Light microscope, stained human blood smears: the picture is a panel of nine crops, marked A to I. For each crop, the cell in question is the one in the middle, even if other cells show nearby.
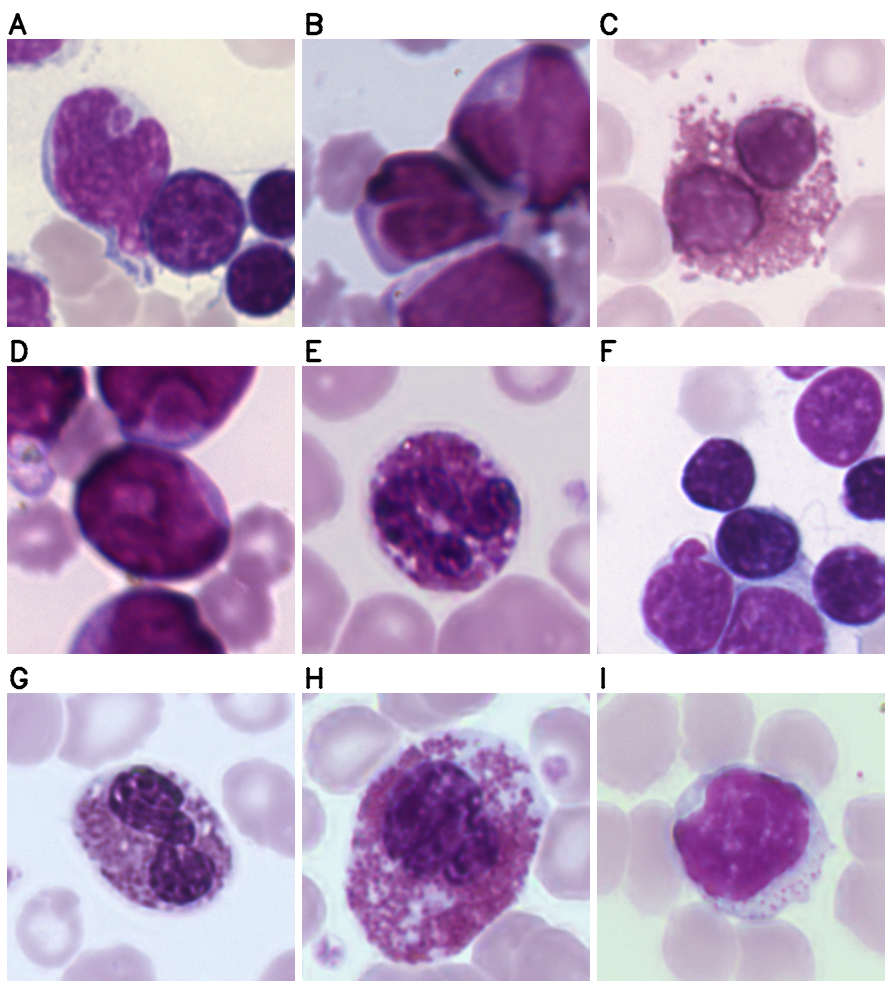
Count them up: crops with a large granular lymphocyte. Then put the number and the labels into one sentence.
Crop I is the one and only crop showing a large granular lymphocyte.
